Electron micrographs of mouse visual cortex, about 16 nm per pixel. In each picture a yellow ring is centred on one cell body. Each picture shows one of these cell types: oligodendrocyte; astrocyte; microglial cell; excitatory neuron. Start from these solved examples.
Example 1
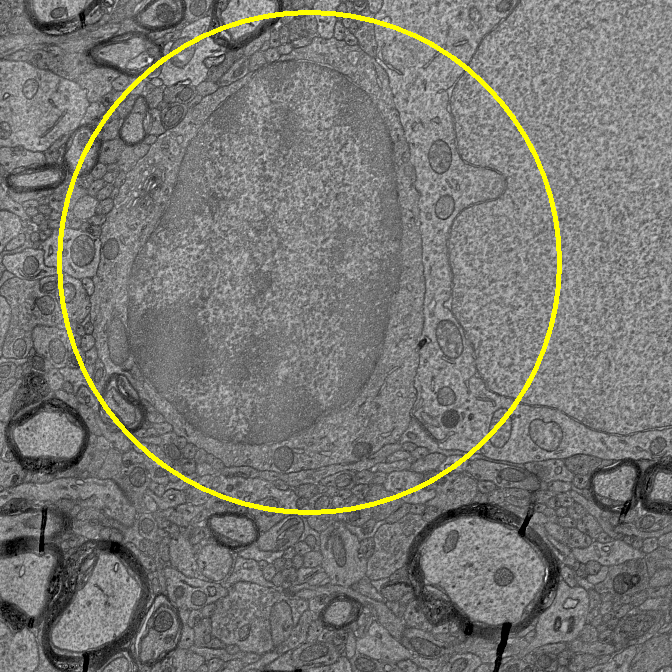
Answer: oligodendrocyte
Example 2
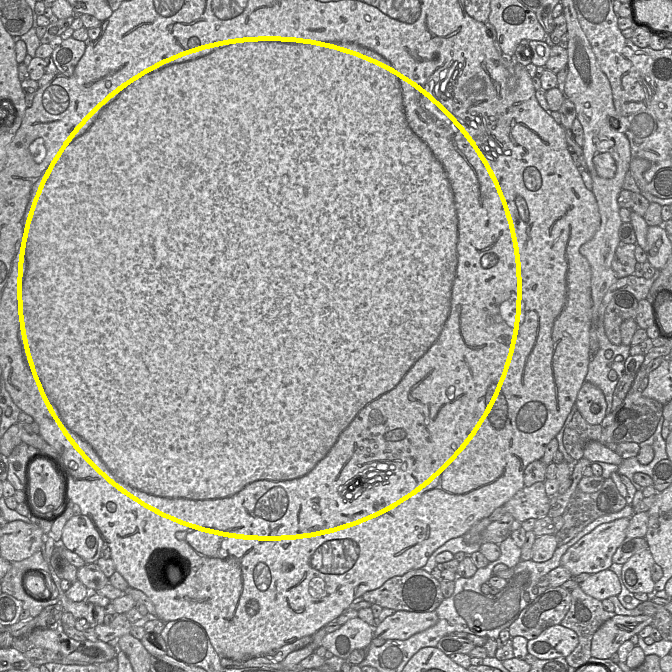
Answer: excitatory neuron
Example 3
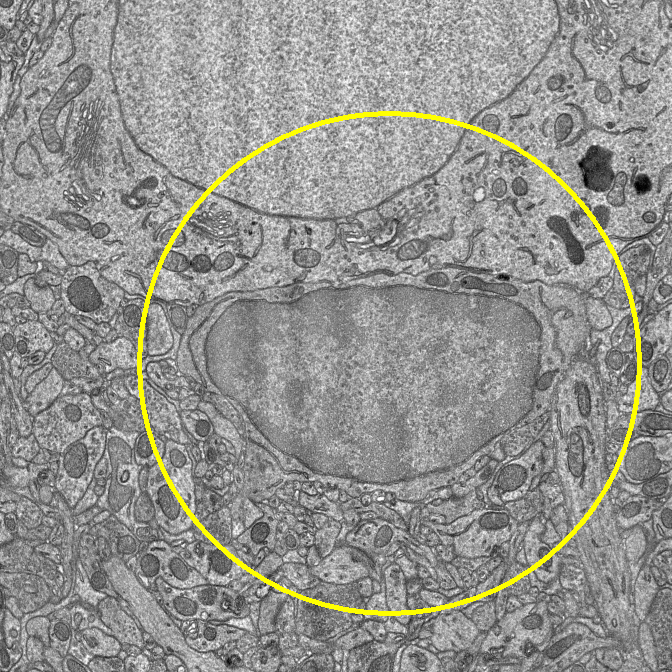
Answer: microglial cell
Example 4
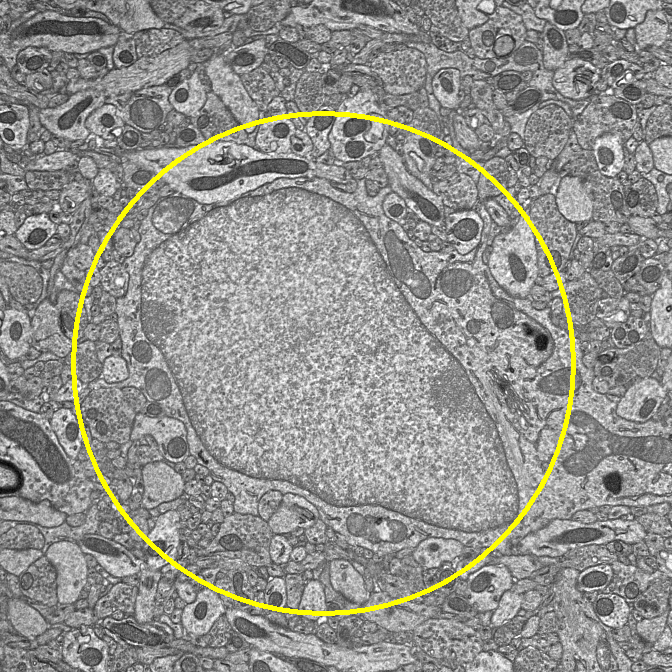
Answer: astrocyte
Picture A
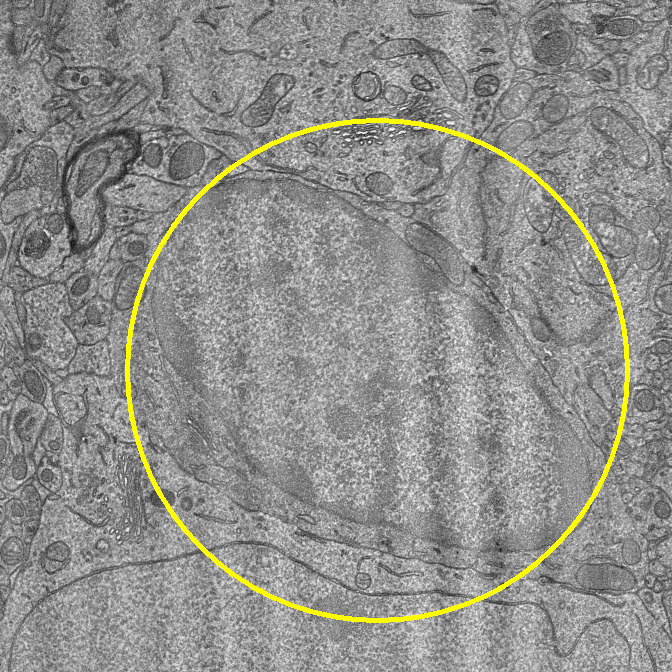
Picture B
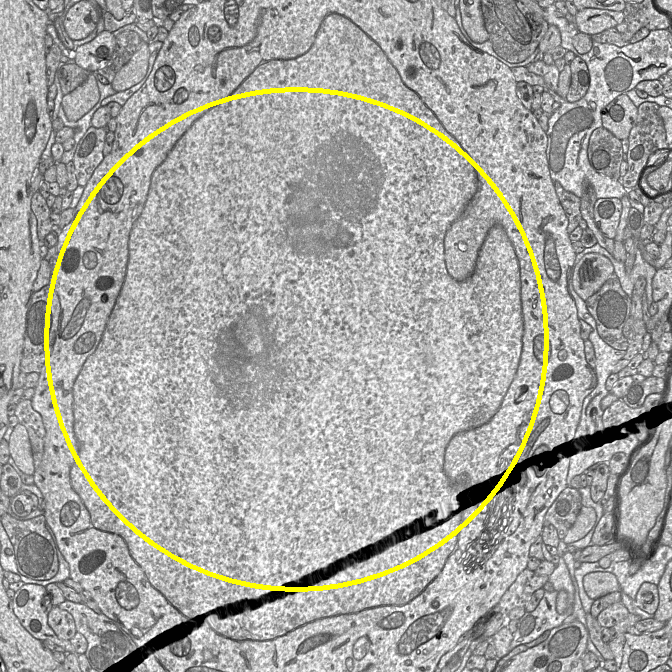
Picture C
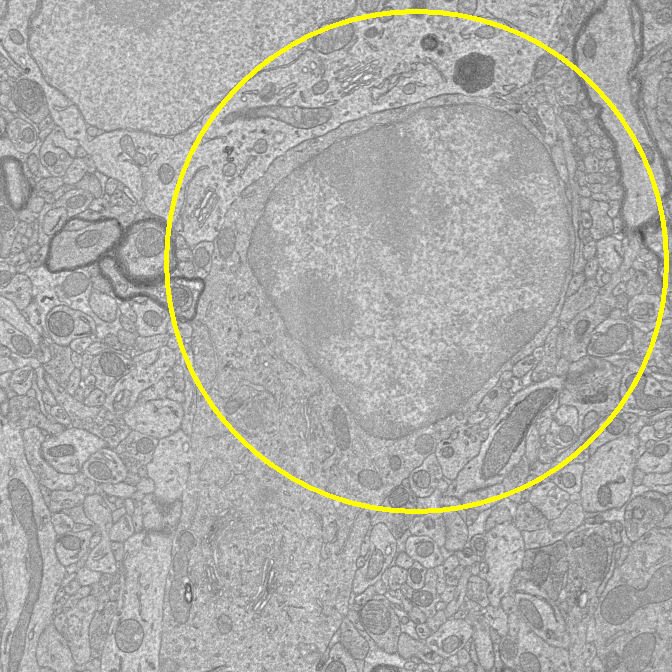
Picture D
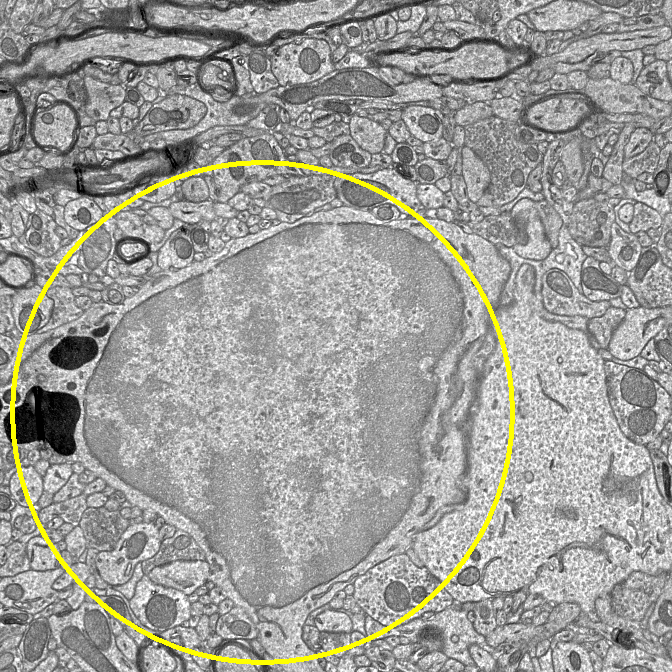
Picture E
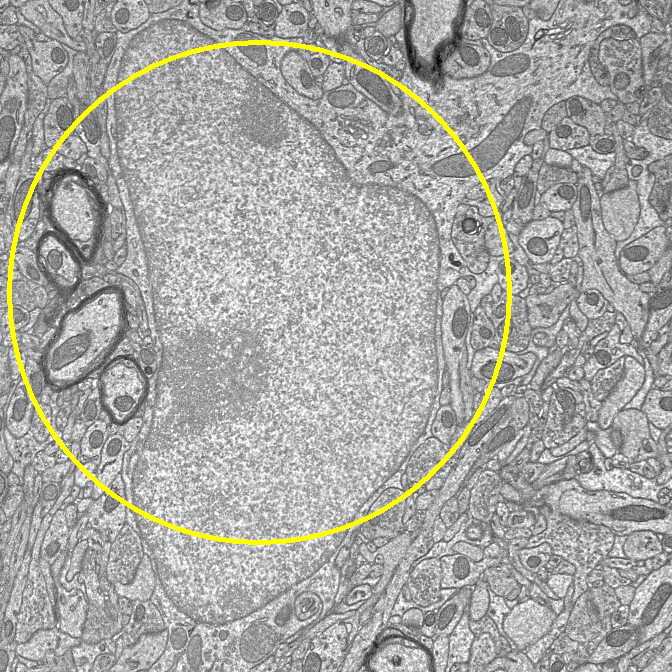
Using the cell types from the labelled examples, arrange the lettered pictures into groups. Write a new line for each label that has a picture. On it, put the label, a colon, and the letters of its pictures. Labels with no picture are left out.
oligodendrocyte: A, C
astrocyte: E
microglial cell: D
excitatory neuron: B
